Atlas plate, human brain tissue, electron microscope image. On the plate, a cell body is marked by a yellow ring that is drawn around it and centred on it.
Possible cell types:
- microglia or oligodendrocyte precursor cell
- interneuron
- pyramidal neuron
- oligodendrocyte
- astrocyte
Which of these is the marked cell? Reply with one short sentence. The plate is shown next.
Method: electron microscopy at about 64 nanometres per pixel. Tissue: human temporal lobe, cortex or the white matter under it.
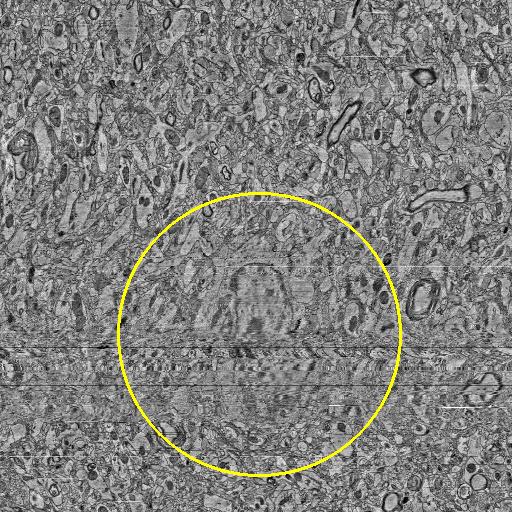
The marked cell is an interneuron.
